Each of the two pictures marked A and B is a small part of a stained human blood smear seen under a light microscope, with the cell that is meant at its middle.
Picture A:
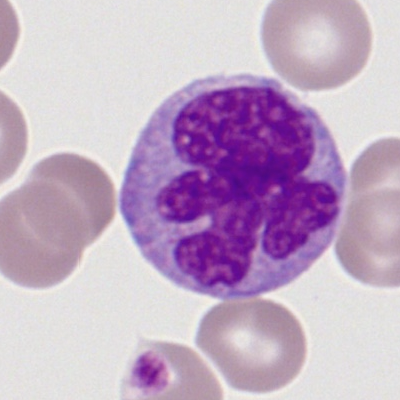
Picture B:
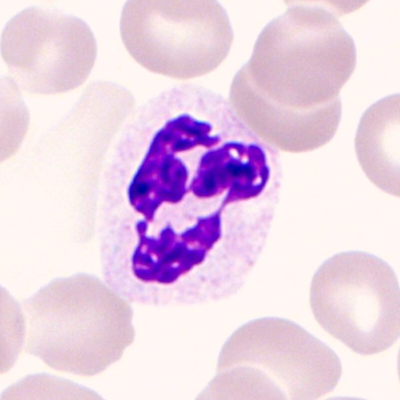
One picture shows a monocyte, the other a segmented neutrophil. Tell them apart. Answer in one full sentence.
Picture A is of a monocyte, and picture B is of a segmented neutrophil.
